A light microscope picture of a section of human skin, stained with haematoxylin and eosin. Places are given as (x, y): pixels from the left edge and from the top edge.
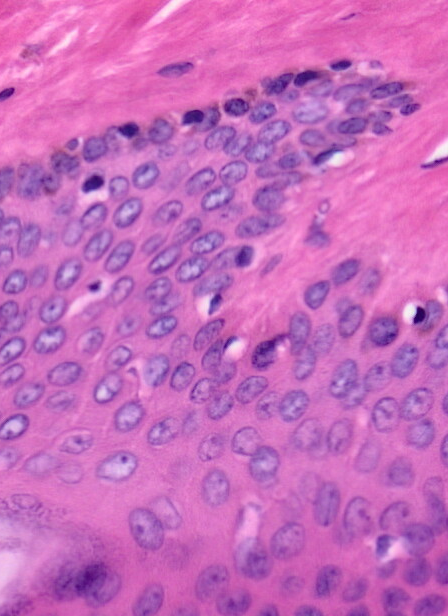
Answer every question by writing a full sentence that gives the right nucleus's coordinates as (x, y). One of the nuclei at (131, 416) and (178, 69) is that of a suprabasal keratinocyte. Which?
Of the two nuclei, it is the one at (131, 416) that lies within a suprabasal keratinocyte.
